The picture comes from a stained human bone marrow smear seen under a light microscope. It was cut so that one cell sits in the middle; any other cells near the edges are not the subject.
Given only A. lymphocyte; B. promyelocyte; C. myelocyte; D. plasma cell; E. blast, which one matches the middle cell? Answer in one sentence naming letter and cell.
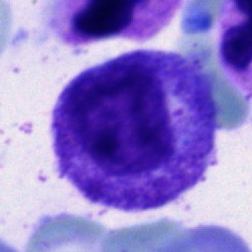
Here the central cell is a promyelocyte, and option B is correct.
